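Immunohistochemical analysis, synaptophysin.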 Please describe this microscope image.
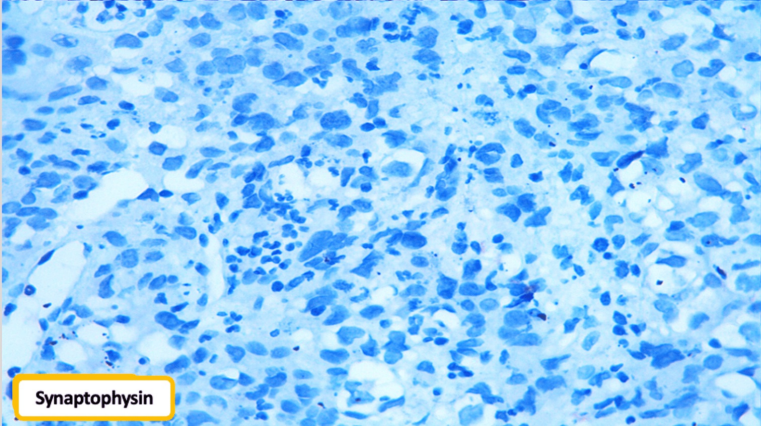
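Crowded cells with oval to elongated, blue-counterstained nuclei lie in a loose, pale background, without brown stain in their cytoplasm. The nuclei vary in size and shape, some plump and some spindle-like, and a few clear vacuoles and empty spaces break up the sheet. The cells lie haphazardly rather than in nests or rosettes.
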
